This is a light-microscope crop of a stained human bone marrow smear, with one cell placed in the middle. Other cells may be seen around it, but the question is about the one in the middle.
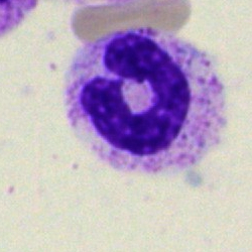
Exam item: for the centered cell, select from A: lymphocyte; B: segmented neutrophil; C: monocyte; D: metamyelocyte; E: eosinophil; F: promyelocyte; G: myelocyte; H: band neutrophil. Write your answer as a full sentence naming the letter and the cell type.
The correct option, H, names the middle cell as a band neutrophil.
